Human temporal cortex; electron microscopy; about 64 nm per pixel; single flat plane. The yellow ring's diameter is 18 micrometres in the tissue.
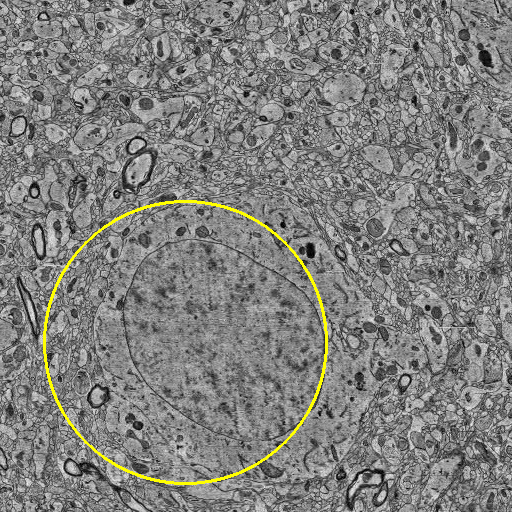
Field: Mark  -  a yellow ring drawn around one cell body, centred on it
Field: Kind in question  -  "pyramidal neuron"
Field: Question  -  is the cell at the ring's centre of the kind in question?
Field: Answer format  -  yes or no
yes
